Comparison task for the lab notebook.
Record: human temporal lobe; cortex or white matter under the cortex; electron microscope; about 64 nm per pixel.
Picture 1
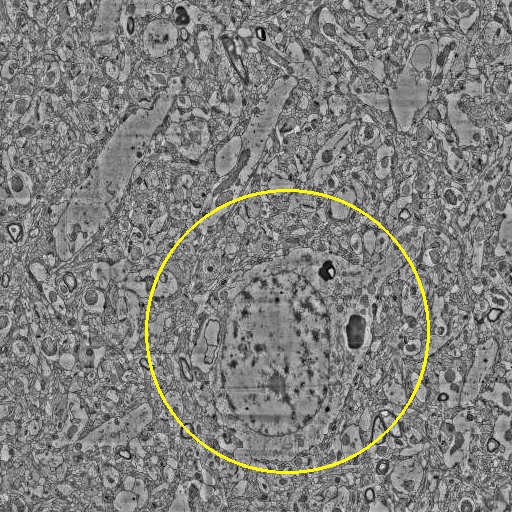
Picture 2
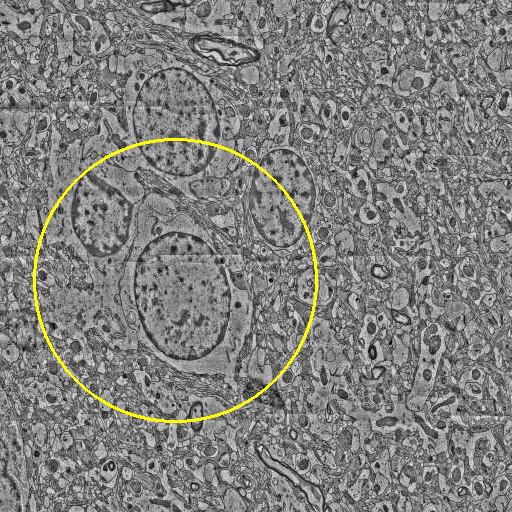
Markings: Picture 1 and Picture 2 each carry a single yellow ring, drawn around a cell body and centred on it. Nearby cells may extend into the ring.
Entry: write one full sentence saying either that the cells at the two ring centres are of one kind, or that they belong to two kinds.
The cells sitting at the ring centres in Picture 1 and Picture 2 belong to two kinds.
